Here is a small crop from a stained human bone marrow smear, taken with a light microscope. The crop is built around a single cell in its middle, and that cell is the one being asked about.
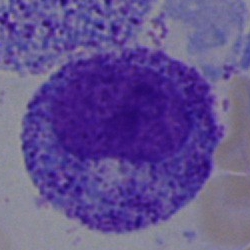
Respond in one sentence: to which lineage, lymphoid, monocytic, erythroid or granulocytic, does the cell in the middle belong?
The lineage of the cell at the center of the crop is granulocytic.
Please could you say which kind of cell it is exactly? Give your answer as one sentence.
Framed in the middle of the crop is a promyelocyte.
